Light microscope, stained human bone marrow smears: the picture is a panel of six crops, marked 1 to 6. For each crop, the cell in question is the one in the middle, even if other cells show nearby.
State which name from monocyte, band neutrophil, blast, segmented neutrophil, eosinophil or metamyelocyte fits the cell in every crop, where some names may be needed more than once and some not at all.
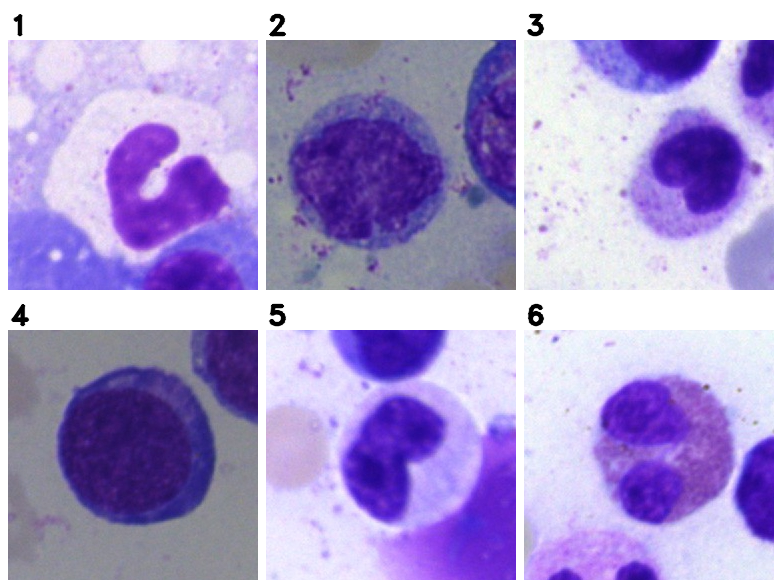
1: band neutrophil
2: monocyte
3: band neutrophil
4: blast
5: metamyelocyte
6: eosinophil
